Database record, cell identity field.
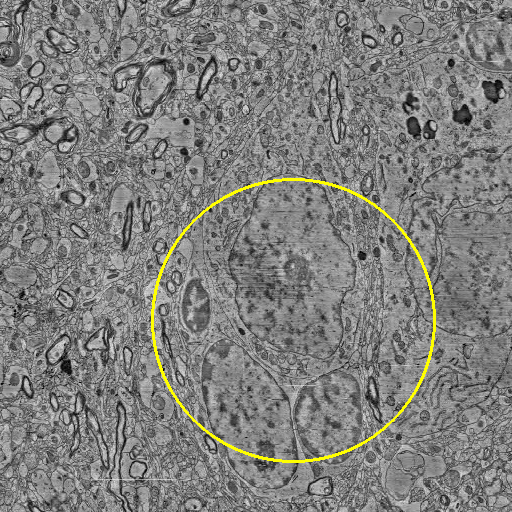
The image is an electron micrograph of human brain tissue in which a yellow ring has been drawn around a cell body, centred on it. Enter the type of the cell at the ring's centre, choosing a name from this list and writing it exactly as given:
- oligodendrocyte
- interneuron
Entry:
interneuron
